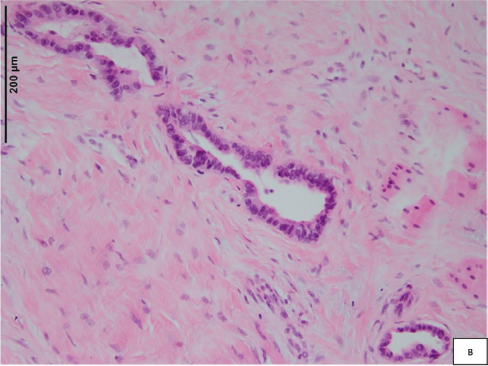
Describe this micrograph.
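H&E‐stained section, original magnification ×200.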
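The glands are elongated and irregular, with open lumens, and are lined by one to several layers of crowded tall cells whose nuclei are enlarged, dark purple and stacked. The lining stands out as a dark band against the pale pink background. The surrounding stroma is made of pink collagen fibres with scattered small spindle-shaped nuclei, and on the right side brighter pink bundles of different texture appear.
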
